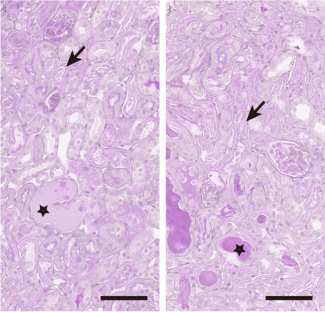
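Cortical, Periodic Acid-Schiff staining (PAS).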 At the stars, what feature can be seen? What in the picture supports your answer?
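The starred tubules are filled with homogeneous deep pink material. The filled lumens are dilated compared with neighbouring tubules.
Conclusion: tubular casts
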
